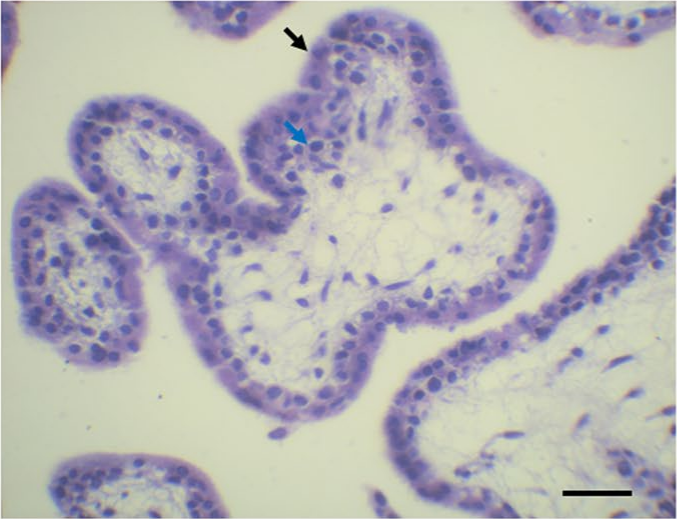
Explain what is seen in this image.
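These are cross-sections of chorionic villi, each covered by a layer of trophoblast with a pale, loose stromal core. The covering is made of an outer continuous syncytiotrophoblast layer with many dark purple nuclei, and beneath it scattered cytotrophoblasts with rounder nuclei. The villous core is pale and loosely meshed, with spindle-shaped and stellate stromal cells lying in it. The villi show lobed, budding outlines with smooth, regular surfaces.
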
